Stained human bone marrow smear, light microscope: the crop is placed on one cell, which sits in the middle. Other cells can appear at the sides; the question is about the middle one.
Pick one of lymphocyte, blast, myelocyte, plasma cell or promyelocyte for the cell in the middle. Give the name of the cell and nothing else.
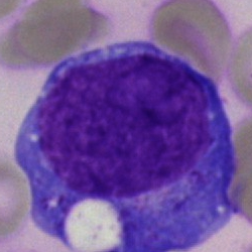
blast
